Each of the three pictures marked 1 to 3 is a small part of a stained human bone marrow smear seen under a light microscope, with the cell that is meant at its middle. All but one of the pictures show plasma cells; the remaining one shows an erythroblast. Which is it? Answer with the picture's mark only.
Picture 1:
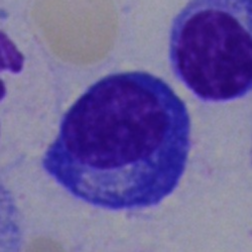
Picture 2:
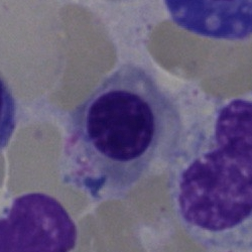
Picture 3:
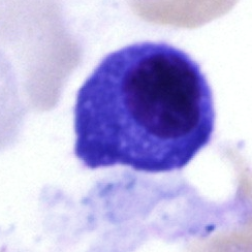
2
